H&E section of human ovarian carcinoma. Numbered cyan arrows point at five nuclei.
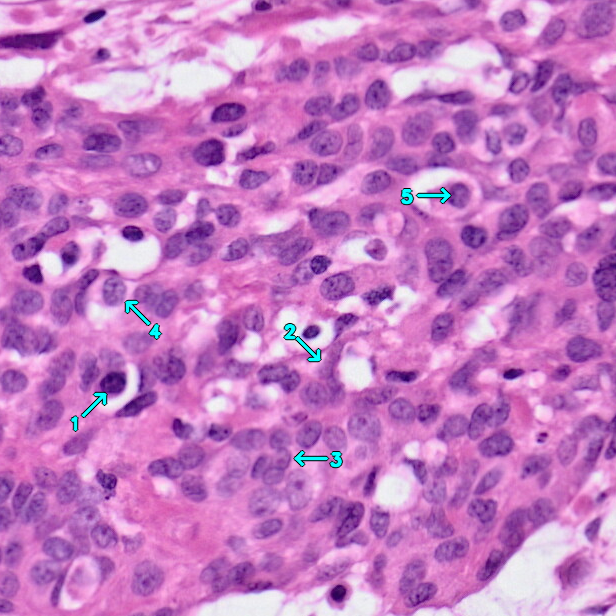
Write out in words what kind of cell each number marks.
Cell 1 is a carcinoma cell, cell 2 is a carcinoma cell, cell 3 is a carcinoma cell, cell 4 is a macrophage or monocyte and cell 5 is a macrophage or monocyte.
